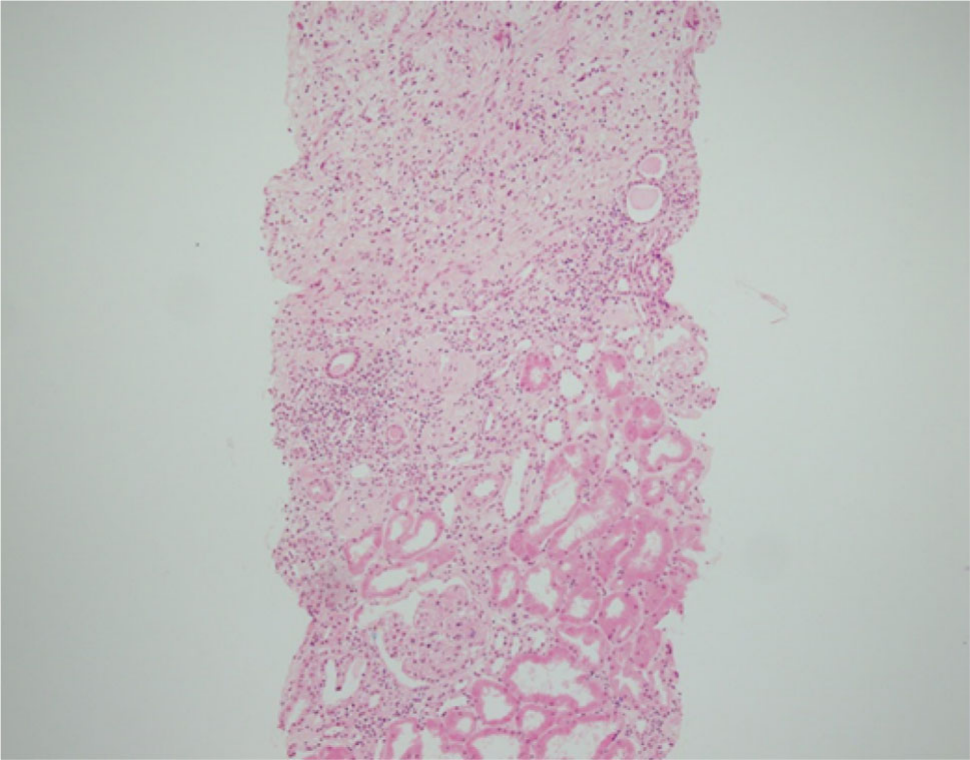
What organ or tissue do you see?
Renal parenchyma.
